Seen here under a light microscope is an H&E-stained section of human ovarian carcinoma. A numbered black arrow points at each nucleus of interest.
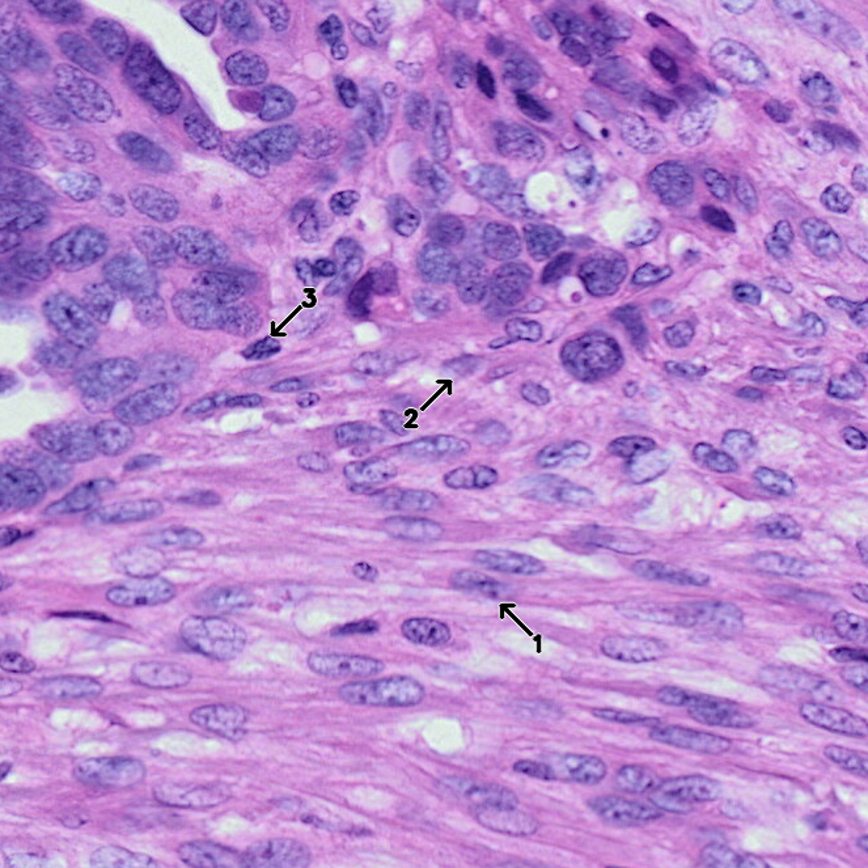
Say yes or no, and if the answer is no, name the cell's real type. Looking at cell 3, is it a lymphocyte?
Yes.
